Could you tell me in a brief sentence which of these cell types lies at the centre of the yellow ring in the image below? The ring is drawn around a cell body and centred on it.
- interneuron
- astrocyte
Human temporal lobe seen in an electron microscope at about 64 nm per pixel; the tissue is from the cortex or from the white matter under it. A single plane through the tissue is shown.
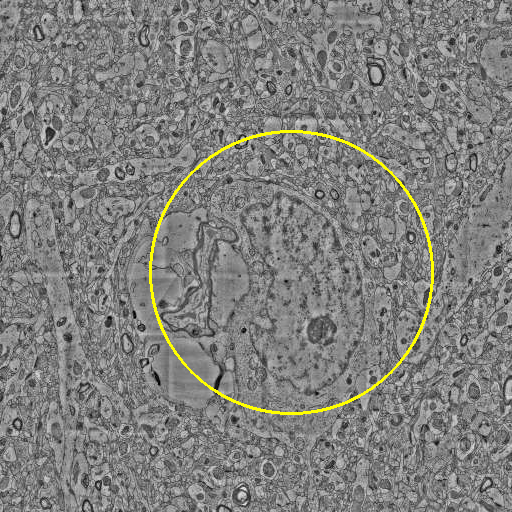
The cell centred in the ring is an interneuron.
